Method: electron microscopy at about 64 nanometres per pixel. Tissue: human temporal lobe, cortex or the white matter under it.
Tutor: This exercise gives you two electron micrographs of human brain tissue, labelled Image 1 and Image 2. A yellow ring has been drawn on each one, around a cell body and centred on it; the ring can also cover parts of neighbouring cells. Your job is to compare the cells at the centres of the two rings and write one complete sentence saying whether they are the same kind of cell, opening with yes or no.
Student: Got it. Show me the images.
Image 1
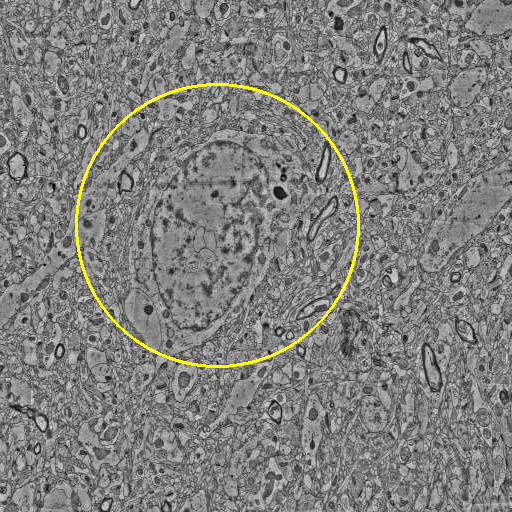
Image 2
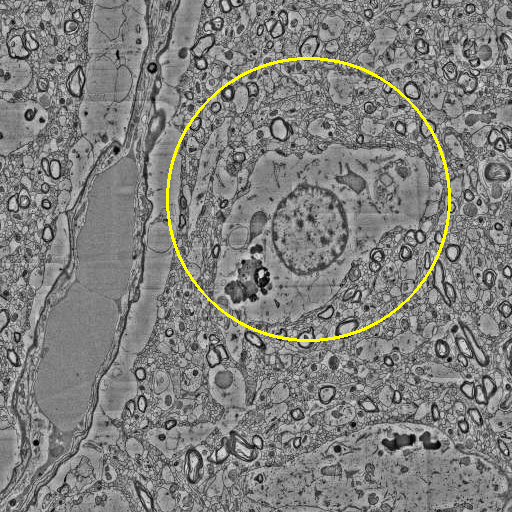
No, the two cells belong to two kinds.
